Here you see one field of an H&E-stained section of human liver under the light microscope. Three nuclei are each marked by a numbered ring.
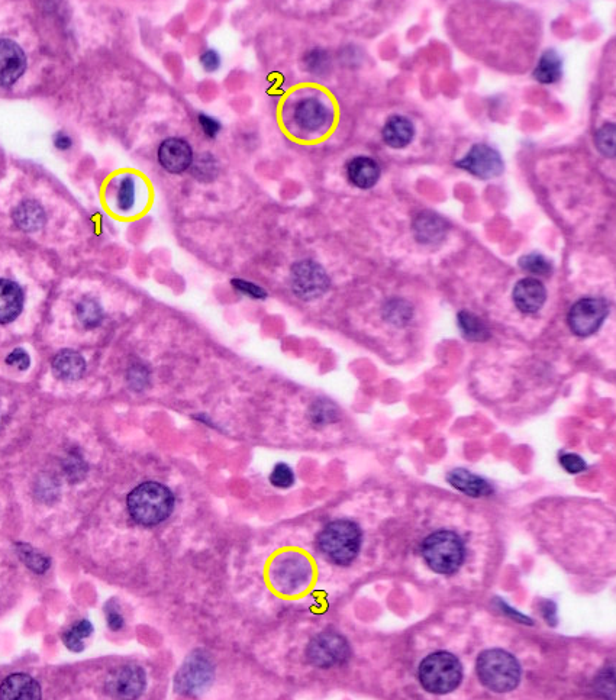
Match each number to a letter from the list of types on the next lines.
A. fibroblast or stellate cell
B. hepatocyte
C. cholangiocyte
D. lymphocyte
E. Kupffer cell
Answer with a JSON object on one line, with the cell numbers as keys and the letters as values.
{"1": "D", "2": "B", "3": "B"}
